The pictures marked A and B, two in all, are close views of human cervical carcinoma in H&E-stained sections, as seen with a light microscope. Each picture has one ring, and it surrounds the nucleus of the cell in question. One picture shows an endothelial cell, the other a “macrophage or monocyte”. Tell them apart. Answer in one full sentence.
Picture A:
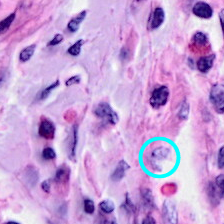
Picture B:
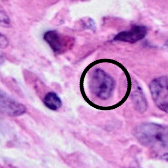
Picture A shows an endothelial cell and picture B shows a “macrophage or monocyte”.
